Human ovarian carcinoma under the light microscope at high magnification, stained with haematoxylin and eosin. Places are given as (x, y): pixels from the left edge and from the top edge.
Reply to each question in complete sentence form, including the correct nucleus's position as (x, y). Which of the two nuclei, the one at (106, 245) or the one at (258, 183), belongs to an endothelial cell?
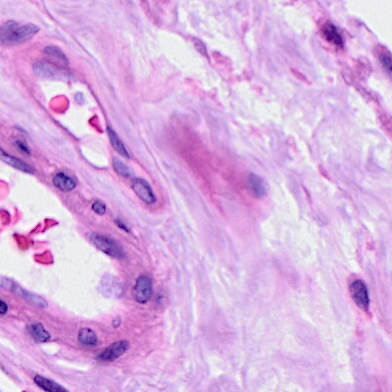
Rather than the other nucleus, the one at (106, 245) belongs to an endothelial cell.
